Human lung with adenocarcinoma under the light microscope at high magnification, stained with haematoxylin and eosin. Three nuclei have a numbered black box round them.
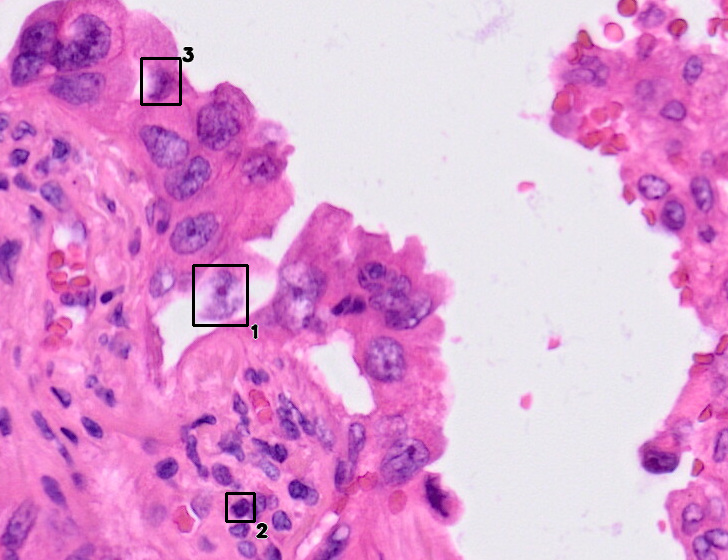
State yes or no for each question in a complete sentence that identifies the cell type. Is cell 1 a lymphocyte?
No, cell 1 is not to be taken for a lymphocyte; it is a carcinoma cell.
